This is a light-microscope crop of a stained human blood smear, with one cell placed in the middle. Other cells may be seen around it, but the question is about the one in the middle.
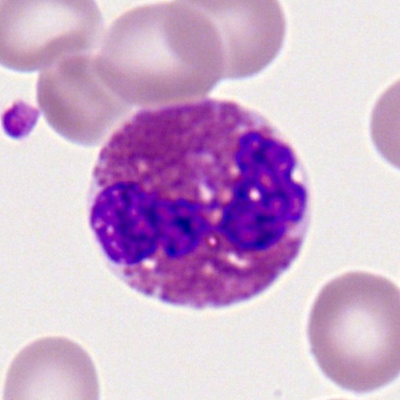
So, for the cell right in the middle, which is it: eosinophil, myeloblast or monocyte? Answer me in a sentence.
At the middle of the frame sits an eosinophil.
